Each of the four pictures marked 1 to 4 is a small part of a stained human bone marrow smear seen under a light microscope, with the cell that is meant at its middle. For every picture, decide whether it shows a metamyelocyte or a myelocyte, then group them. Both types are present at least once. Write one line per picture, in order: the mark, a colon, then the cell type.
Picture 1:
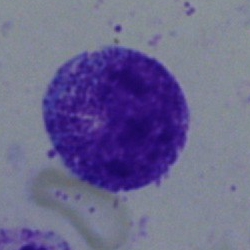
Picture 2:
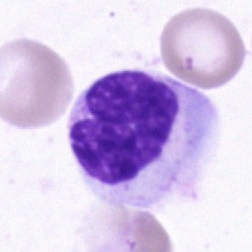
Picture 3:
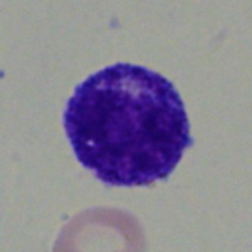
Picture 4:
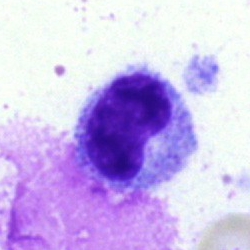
1: myelocyte
2: metamyelocyte
3: myelocyte
4: metamyelocyte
